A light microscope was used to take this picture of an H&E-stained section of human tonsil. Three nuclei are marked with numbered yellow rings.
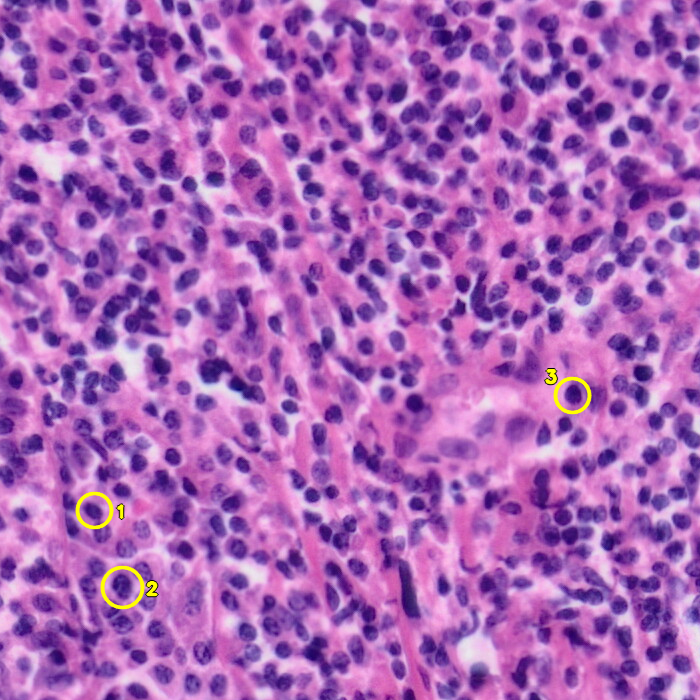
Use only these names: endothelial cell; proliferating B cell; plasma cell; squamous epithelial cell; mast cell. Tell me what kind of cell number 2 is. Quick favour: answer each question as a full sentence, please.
The nucleus with number 2 is that of a plasma cell.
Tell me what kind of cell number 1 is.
At number 1, the marked cell is a plasma cell.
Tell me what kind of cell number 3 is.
In this section, the cell numbered 3 is an endothelial cell.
